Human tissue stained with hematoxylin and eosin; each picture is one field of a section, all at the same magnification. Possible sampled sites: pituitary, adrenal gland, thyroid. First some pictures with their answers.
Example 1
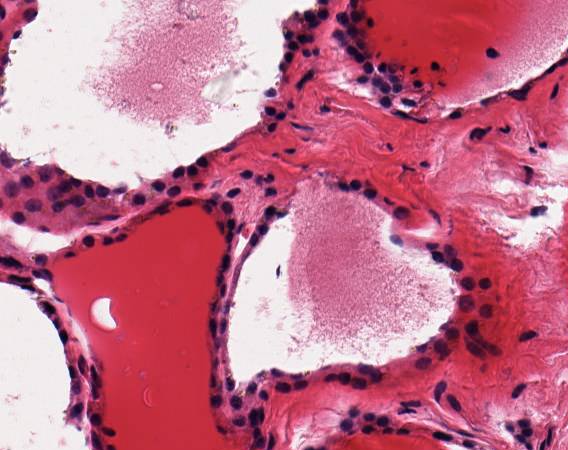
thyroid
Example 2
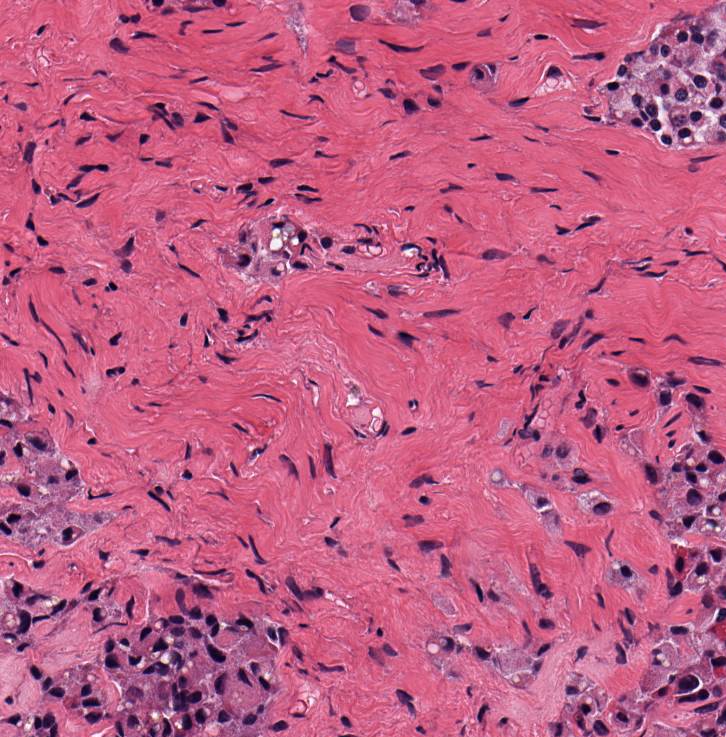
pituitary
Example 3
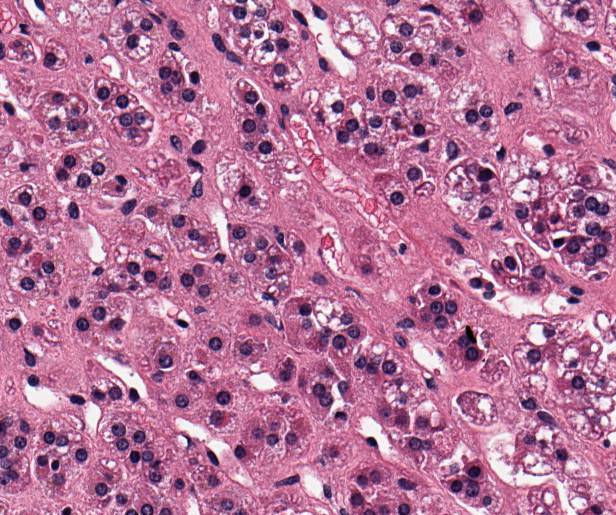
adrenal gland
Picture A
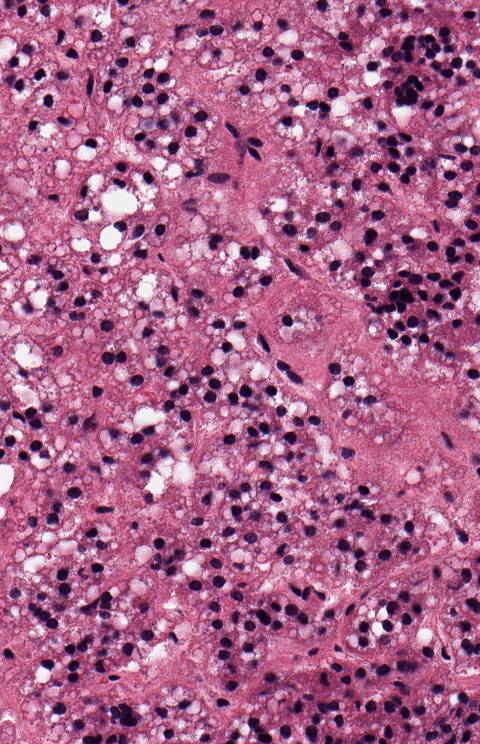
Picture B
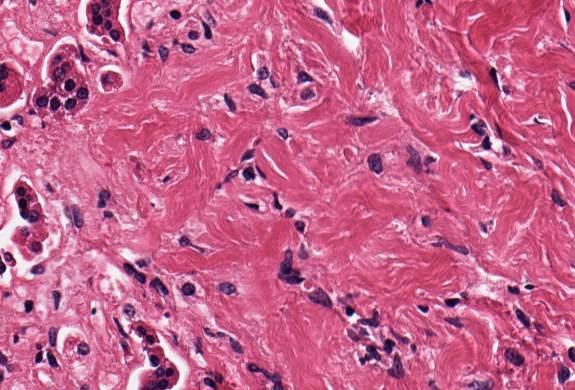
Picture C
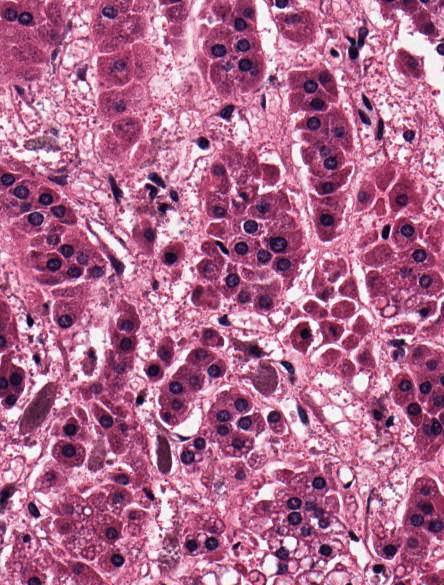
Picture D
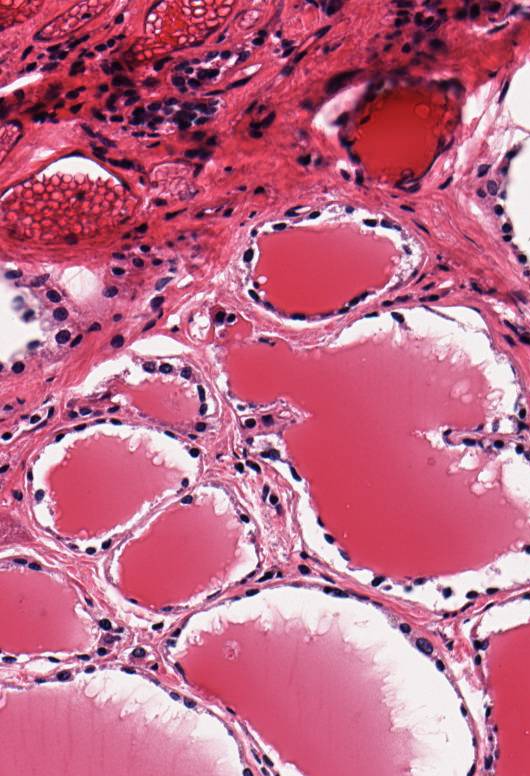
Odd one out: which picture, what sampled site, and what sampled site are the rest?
D (thyroid) is the exception; every other picture is adrenal gland.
